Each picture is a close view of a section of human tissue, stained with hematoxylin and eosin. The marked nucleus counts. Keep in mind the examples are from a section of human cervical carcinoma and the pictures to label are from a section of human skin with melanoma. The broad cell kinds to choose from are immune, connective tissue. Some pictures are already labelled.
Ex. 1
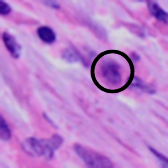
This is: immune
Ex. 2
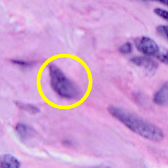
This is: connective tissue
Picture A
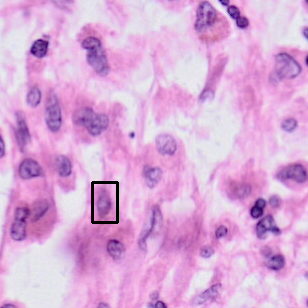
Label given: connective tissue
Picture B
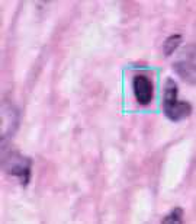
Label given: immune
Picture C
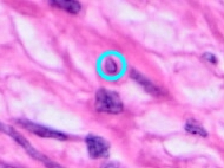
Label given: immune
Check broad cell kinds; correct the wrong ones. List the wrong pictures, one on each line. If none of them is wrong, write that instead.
A is labelled connective tissue; correct label: immune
